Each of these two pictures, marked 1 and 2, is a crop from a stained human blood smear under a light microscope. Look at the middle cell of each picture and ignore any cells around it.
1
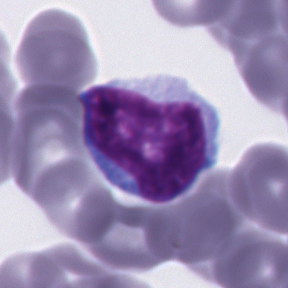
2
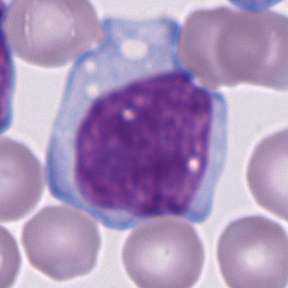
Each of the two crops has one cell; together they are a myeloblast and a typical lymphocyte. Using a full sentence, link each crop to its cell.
Crop 1 is labelled a typical lymphocyte, and crop 2 is labelled a myeloblast.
